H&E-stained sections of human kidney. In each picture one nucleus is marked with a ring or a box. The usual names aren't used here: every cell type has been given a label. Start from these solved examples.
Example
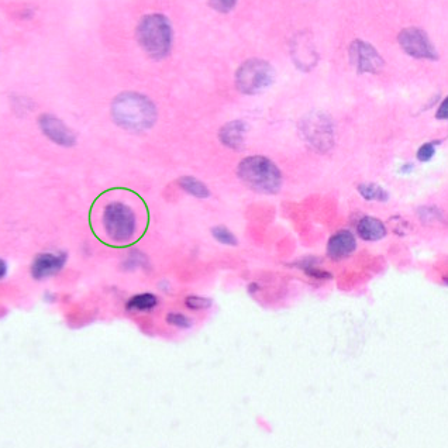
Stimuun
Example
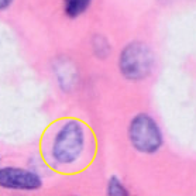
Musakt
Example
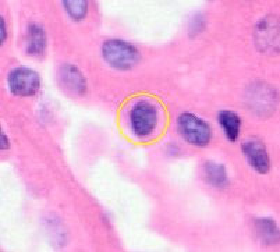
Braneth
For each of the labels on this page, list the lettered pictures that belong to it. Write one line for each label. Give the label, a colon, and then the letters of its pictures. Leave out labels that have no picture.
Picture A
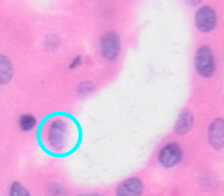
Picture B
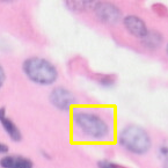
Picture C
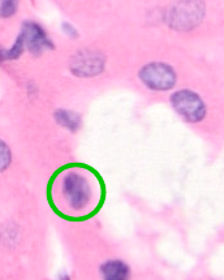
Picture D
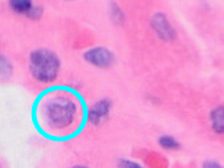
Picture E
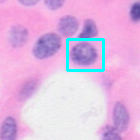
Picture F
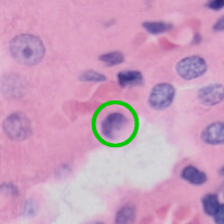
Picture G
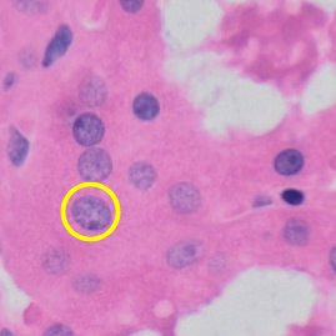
Stimuun: G
Musakt: B, E
Braneth: A, C, D, F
